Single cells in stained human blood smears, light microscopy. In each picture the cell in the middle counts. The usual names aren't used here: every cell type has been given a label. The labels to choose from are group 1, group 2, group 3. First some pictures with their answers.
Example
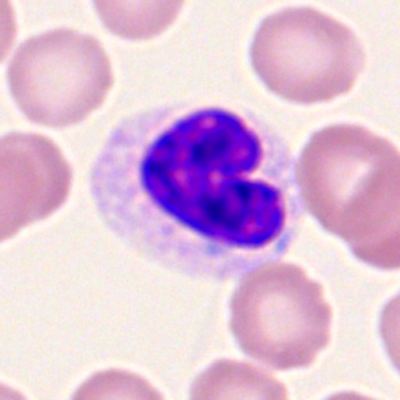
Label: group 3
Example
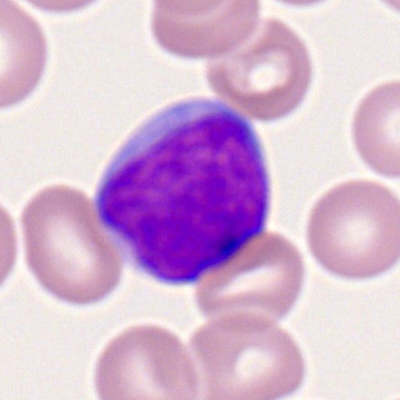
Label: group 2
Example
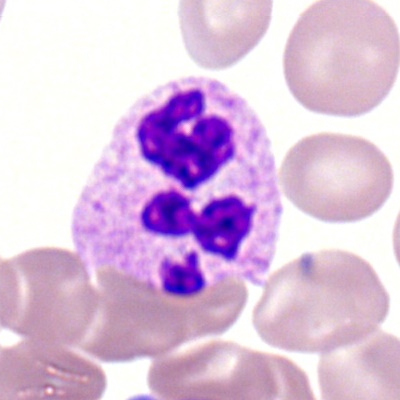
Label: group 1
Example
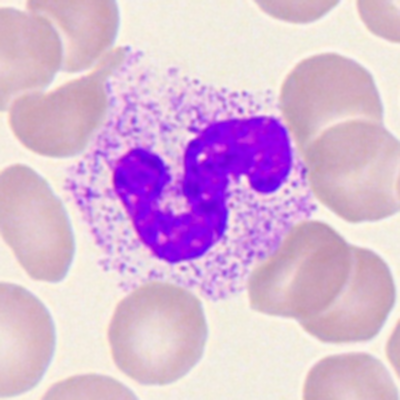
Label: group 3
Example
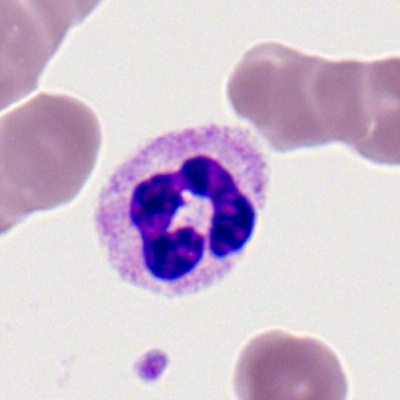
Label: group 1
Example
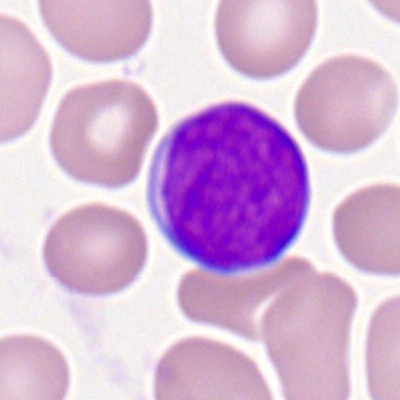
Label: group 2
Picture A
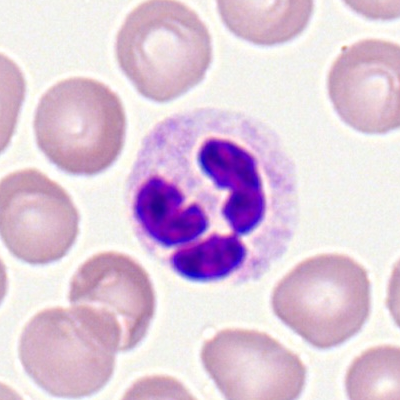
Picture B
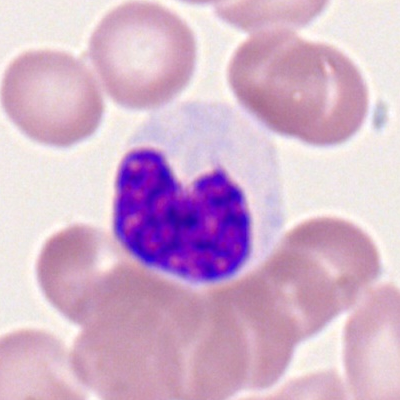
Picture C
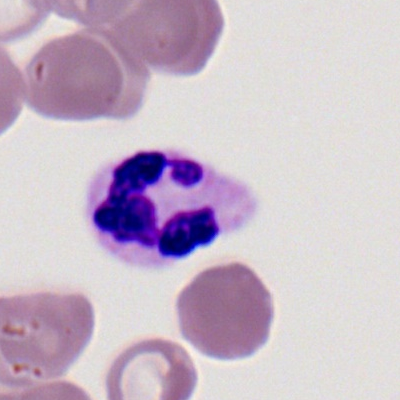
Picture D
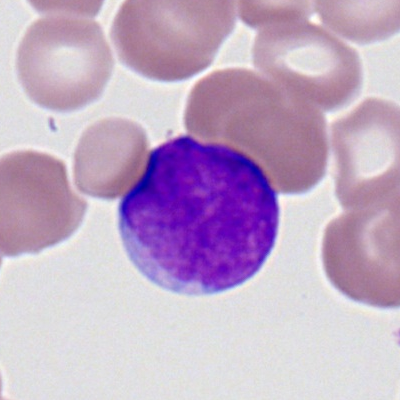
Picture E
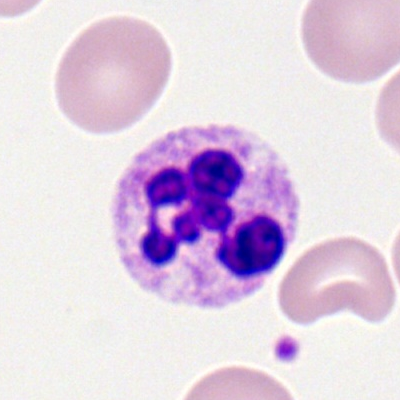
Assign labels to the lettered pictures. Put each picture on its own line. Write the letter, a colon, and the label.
A: group 1
B: group 3
C: group 1
D: group 2
E: group 1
